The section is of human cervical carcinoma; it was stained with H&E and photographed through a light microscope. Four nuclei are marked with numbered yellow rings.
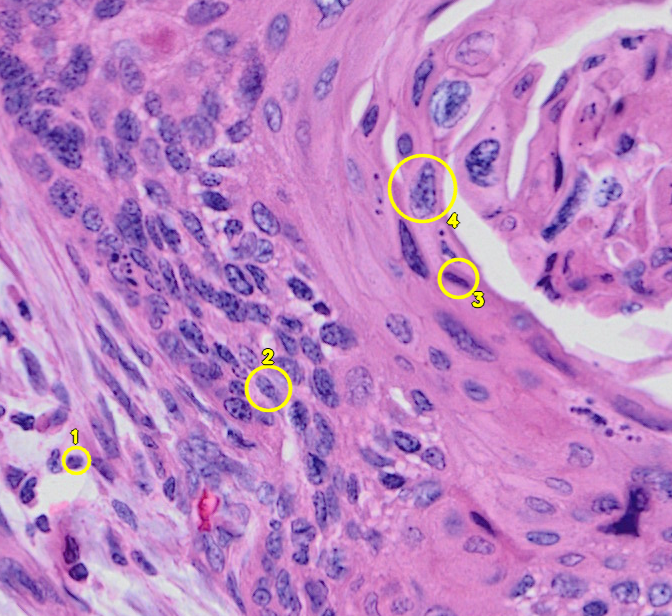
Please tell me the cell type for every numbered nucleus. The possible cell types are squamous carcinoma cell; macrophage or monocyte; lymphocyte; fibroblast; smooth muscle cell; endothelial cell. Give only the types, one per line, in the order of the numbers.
lymphocyte
squamous carcinoma cell
squamous carcinoma cell
squamous carcinoma cell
